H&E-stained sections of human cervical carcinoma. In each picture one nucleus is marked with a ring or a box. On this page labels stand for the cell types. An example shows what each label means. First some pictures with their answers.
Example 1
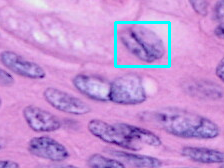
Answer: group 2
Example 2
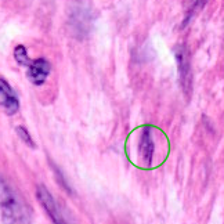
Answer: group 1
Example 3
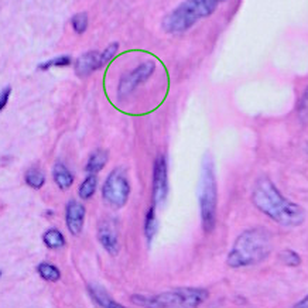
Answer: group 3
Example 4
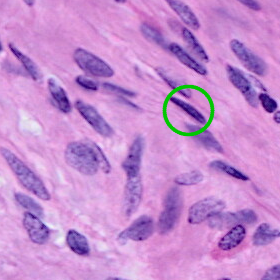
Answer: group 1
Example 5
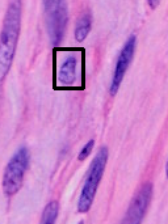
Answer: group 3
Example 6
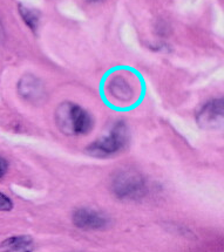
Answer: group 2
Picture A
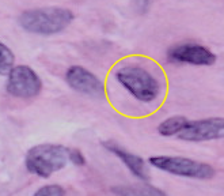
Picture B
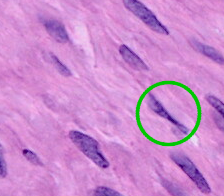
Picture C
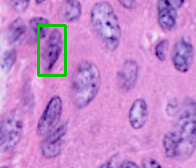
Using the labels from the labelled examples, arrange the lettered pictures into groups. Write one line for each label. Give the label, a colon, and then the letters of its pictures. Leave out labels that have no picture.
group 2: C
group 1: A, B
